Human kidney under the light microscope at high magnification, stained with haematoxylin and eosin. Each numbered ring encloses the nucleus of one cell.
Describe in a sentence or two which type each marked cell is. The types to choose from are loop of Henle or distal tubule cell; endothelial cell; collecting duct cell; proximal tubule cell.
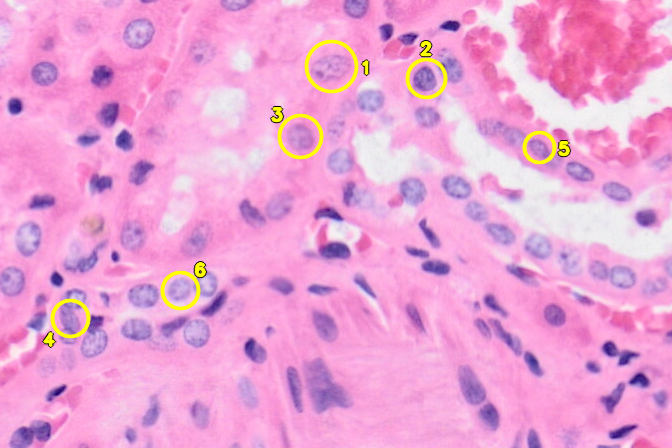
Cell 1 is a proximal tubule cell, cell 2 is a collecting duct cell, cell 3 is a proximal tubule cell, cell 4 is a collecting duct cell, cell 5 is a collecting duct cell and cell 6 is a collecting duct cell.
